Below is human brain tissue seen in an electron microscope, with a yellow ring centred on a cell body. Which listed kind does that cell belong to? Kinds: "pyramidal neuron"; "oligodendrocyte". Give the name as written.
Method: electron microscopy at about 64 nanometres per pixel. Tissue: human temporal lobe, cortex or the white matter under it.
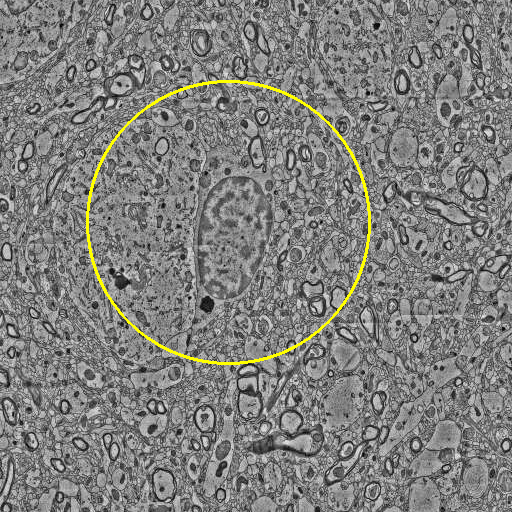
oligodendrocyte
